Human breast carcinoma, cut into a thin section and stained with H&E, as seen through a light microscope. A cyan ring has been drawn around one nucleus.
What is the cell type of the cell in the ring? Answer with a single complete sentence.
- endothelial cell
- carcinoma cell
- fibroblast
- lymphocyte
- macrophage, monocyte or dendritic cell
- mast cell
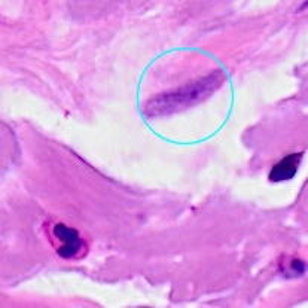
The cell meant here is a fibroblast.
